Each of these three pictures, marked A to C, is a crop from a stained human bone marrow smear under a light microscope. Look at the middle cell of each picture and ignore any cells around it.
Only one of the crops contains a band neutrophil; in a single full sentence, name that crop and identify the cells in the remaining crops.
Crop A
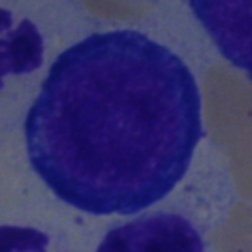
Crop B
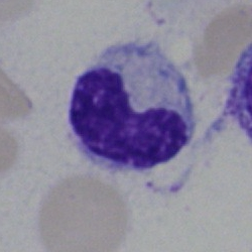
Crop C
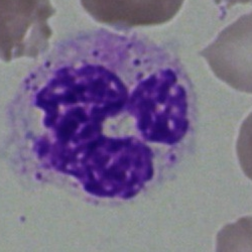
Sorting them out, crop B is a band neutrophil, while crop A is a proerythroblast and crop C is a segmented neutrophil.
